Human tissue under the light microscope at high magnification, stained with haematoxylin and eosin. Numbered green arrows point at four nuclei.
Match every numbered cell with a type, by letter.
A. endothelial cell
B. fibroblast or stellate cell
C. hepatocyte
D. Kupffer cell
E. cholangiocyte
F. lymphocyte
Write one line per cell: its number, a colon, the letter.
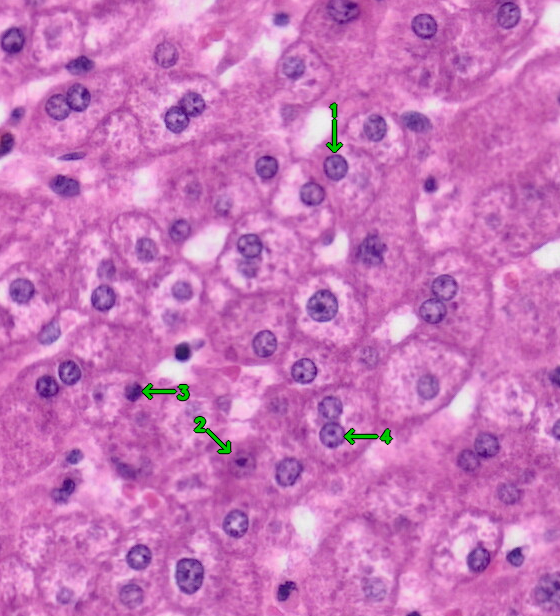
1: C
2: C
3: B
4: C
